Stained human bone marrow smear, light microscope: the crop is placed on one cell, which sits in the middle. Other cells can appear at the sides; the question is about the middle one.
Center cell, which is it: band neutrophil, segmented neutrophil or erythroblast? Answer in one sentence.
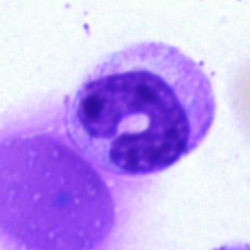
The crop centres on a single cell, and that cell is a band neutrophil.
